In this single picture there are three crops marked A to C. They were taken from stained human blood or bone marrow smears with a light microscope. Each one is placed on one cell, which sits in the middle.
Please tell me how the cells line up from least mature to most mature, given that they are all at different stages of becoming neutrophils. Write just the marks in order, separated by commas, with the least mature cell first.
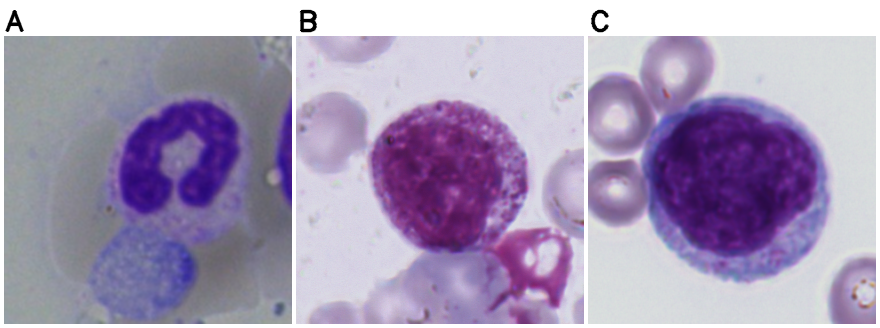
C, B, A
